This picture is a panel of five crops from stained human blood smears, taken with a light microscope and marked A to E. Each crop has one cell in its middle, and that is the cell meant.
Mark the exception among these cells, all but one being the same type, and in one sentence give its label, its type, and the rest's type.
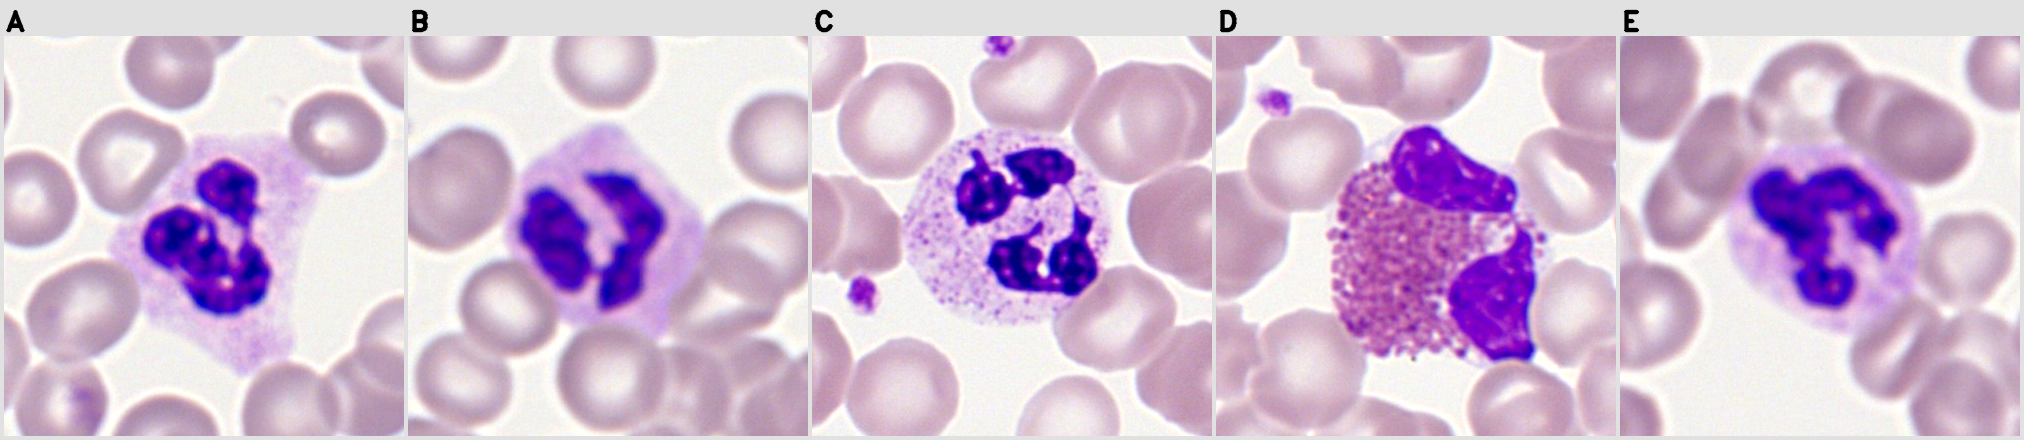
Whereas the other crops all show segmented neutrophils, crop D shows an eosinophil.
